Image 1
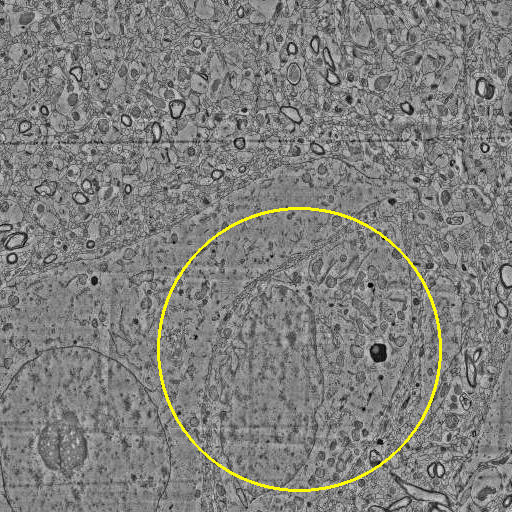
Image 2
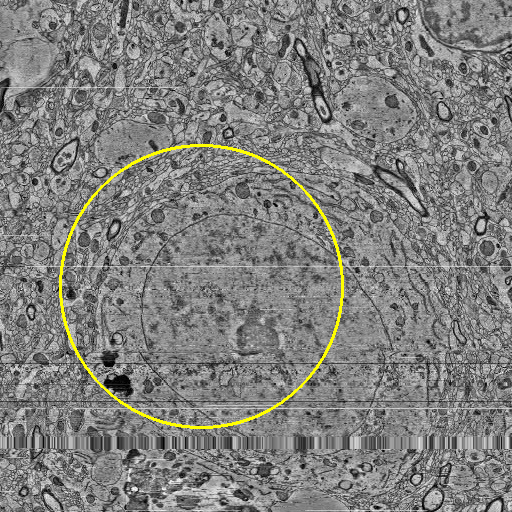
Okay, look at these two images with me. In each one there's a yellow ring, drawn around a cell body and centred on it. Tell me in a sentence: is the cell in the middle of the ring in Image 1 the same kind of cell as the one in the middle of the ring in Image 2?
No, they're two kinds of cell.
